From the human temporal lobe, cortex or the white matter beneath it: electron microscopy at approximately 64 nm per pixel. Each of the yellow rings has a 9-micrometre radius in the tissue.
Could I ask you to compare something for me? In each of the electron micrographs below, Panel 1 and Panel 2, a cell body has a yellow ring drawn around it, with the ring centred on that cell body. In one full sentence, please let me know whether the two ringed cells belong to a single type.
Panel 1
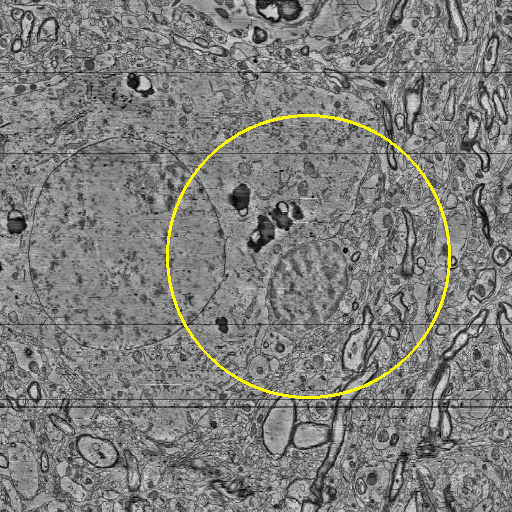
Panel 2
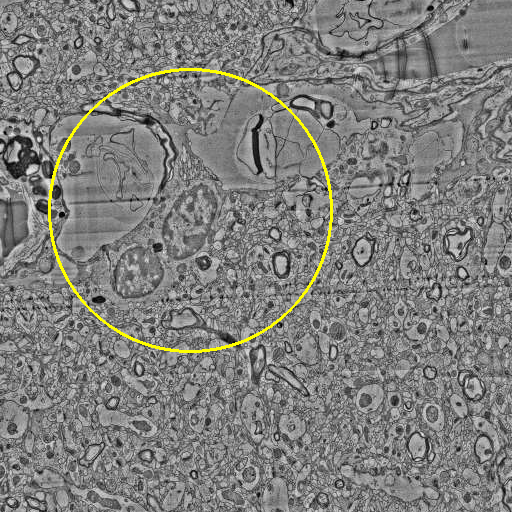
Yes, the two cells at the centres of the rings are of one type.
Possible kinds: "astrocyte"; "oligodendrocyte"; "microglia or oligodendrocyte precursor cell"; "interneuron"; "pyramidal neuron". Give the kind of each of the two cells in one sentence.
Each one of the two ringed cells is an oligodendrocyte.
